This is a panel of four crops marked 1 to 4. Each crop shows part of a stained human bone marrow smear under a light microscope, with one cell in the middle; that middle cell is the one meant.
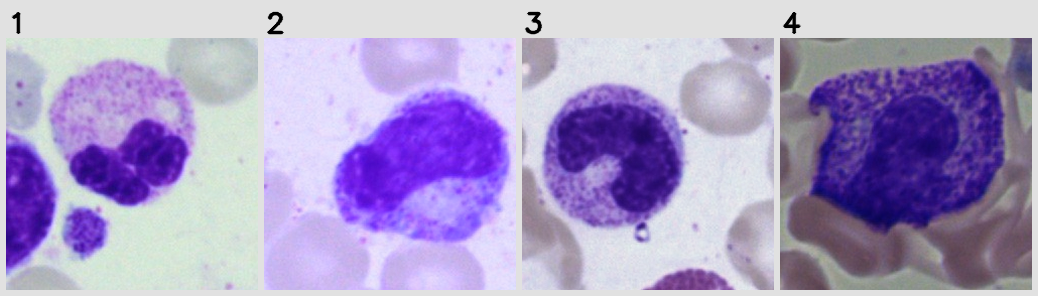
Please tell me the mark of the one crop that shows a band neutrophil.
3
